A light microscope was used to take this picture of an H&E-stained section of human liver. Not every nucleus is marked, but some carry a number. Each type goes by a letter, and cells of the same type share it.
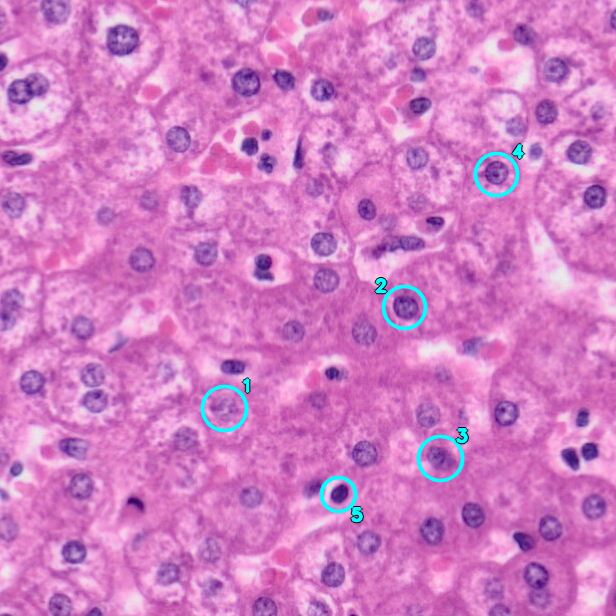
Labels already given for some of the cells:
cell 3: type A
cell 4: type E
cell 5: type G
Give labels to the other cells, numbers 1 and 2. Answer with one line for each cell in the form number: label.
1: type E
2: type E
